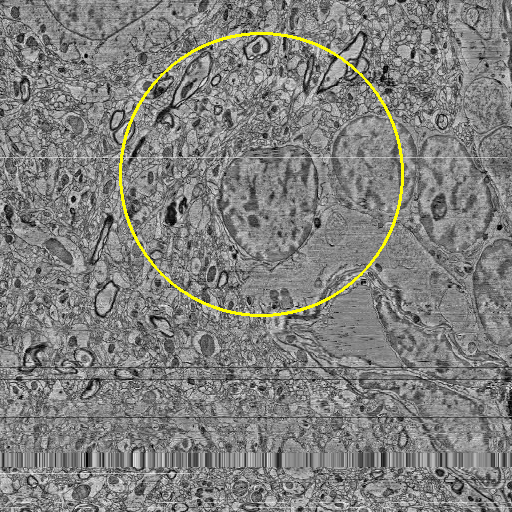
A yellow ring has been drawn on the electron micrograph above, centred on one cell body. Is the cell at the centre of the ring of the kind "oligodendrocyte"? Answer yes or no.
no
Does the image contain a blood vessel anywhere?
Yes.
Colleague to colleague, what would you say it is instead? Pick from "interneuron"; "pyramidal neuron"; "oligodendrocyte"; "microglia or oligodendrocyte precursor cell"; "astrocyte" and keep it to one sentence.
So the cell at the centre is a microglial cell or oligodendrocyte precursor cell.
